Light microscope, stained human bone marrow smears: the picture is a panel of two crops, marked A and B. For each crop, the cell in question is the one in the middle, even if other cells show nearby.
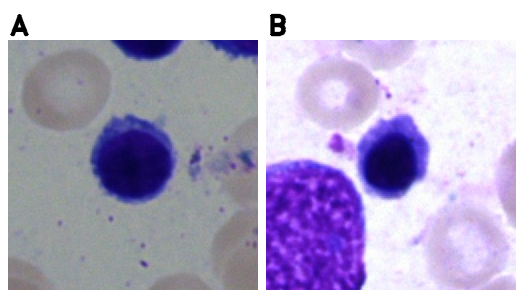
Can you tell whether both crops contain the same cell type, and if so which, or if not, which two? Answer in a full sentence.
No, crop A shows a lymphocyte, and crop B, by contrast, shows a normoblast.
